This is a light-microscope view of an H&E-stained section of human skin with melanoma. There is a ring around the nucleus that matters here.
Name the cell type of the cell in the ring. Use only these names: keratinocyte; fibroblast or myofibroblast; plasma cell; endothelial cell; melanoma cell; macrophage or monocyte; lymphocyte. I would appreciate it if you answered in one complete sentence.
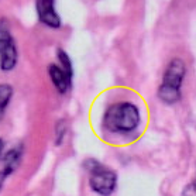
The identity of the cell in the ring is that of a macrophage or monocyte.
